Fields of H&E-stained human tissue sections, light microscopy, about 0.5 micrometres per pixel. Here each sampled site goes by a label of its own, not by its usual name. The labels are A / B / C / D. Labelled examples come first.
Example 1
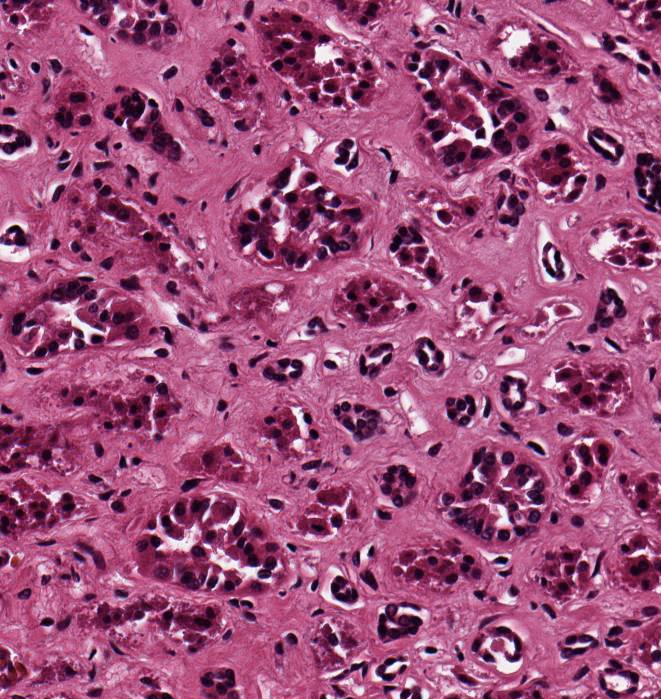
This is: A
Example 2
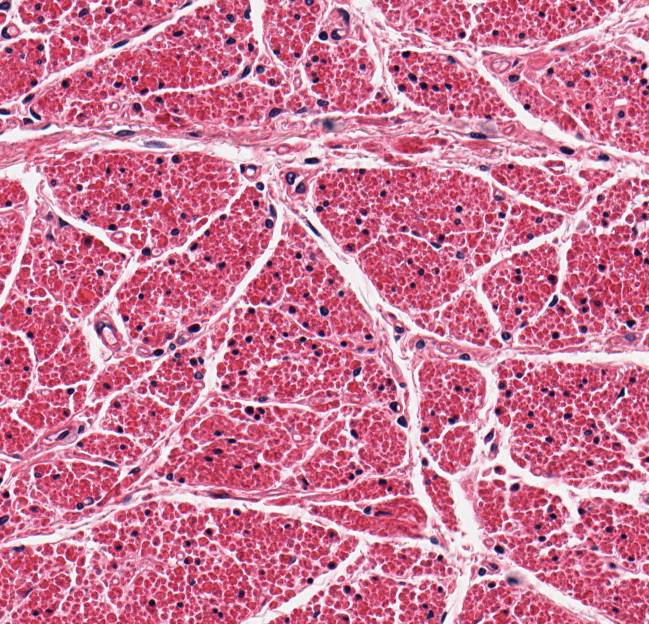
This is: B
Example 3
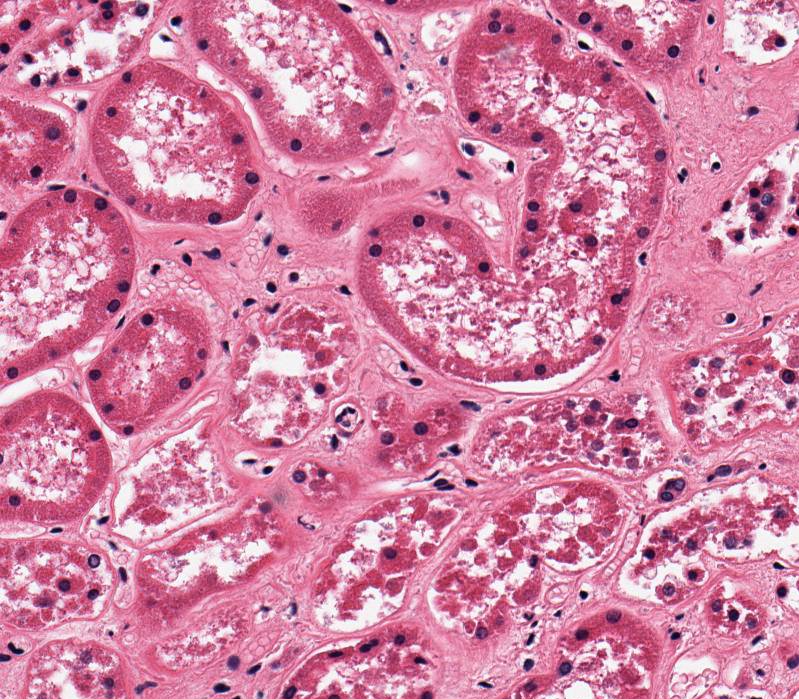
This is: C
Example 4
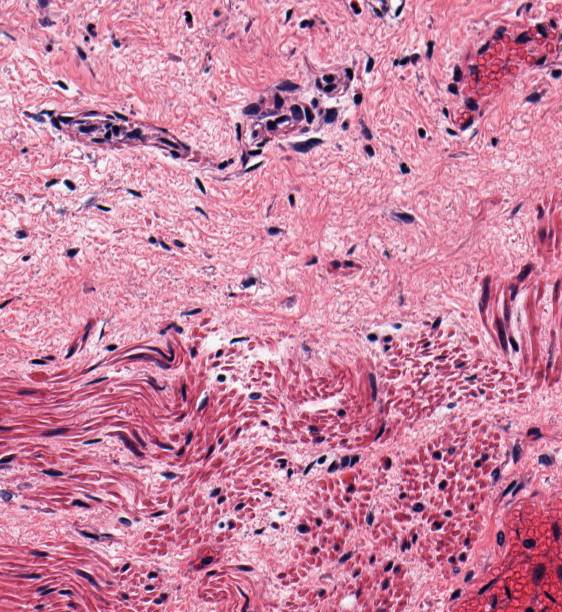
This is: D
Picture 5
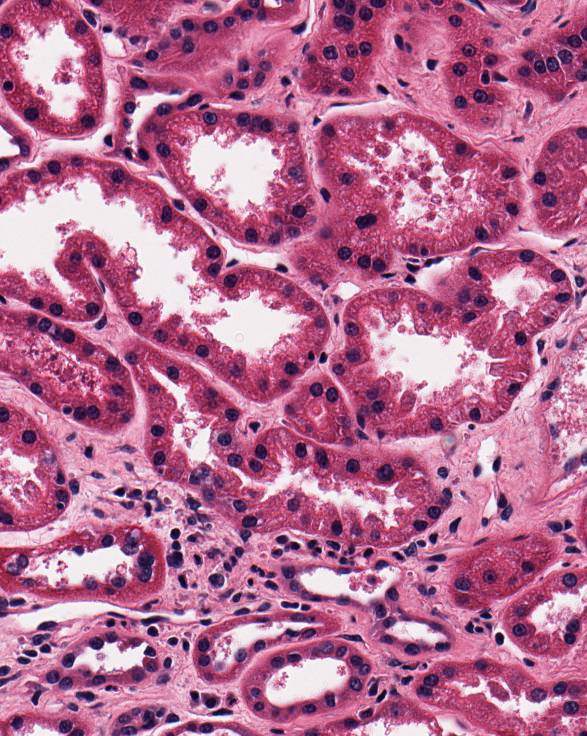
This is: C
